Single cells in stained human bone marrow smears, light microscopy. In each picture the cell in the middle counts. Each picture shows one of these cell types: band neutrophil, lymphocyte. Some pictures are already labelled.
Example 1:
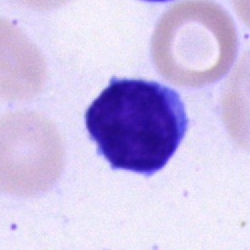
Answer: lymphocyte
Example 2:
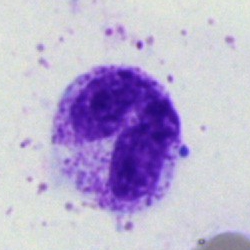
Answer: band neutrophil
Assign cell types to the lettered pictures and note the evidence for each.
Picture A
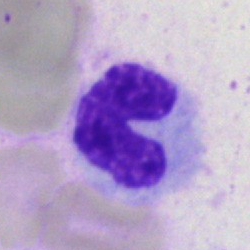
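band neutrophil: The nucleus is curved like a horseshoe, with a deep notch that opens toward the right.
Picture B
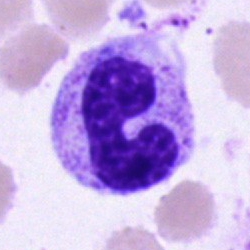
band neutrophil: Fine purple granules are scattered throughout the cytoplasm.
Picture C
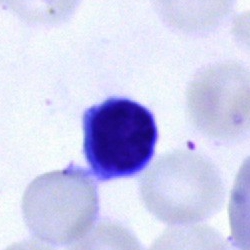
lymphocyte: The cytoplasm is a very scant rim of blue, seen mainly on the left side.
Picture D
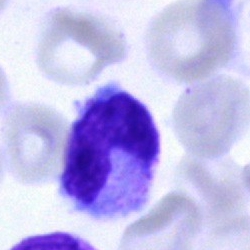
band neutrophil: The nucleus is curved like a horseshoe, wrapping around a patch of cytoplasm at the lower right of the cell.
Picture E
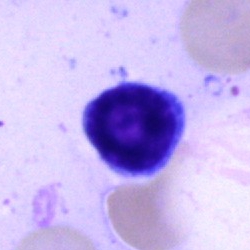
lymphocyte: The thin rim of cytoplasm is deep blue.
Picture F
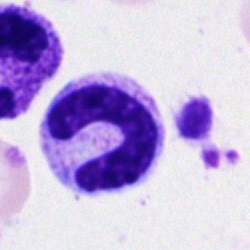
band neutrophil: The nucleus is a single thick curved band shaped like a horseshoe, with its opening facing left.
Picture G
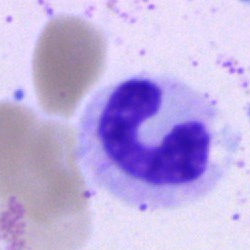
band neutrophil: The cytoplasm forms a wide rim around the nucleus.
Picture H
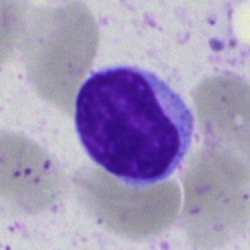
lymphocyte: The cytoplasm forms only a thin rim around the nucleus.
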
